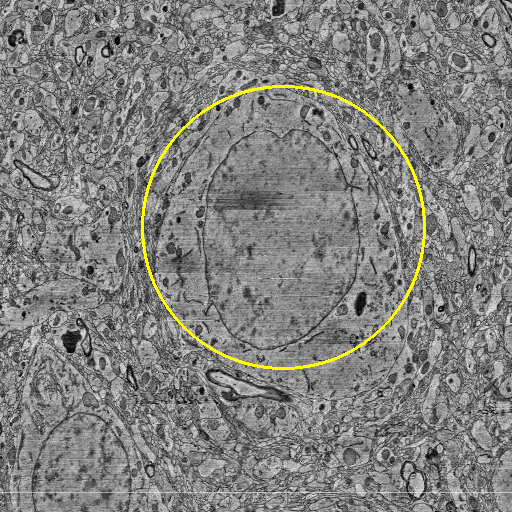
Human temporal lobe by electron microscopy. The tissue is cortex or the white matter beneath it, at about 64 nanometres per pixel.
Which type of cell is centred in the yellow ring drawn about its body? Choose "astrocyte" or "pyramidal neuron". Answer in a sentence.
The yellow ring surrounds the cell body of a pyramidal neuron.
